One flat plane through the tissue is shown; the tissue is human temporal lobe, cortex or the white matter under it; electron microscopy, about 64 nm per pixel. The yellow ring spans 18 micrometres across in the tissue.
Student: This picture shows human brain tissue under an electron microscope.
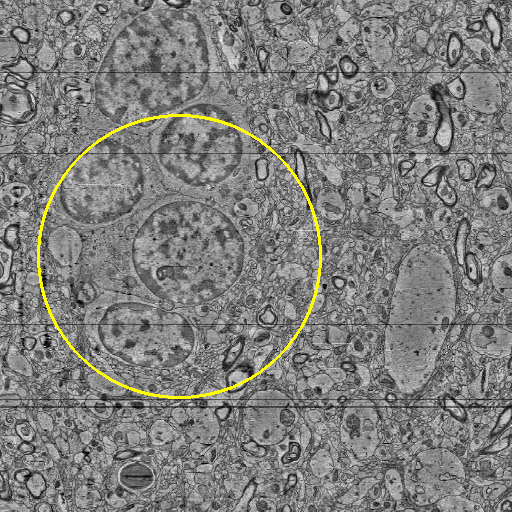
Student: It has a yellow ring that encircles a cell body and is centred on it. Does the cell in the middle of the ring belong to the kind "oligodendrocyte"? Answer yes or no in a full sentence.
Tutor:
Yes, the cell in the middle of the ring in this picture is of that kind.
